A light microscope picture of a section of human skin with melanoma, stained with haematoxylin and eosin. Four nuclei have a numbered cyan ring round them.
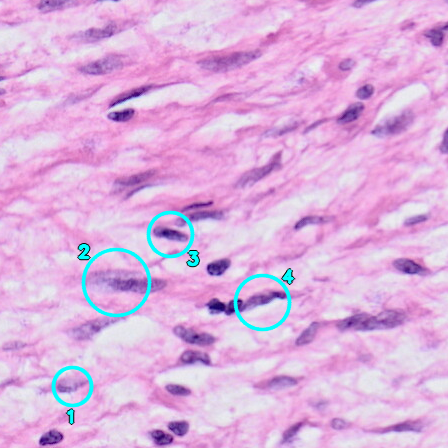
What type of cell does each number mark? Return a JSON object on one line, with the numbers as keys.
{"1": "fibroblast or myofibroblast", "2": "fibroblast or myofibroblast", "3": "lymphocyte", "4": "fibroblast or myofibroblast"}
